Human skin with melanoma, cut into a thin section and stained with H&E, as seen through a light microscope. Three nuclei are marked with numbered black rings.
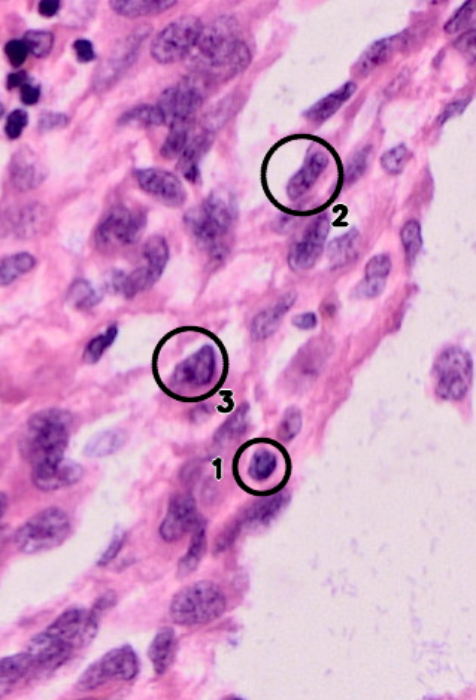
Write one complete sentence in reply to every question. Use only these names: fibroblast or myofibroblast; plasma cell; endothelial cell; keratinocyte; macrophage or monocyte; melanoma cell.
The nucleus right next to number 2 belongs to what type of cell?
It is a melanoma cell whose nucleus is nearest to number 2.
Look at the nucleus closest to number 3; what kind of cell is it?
The cell nearest to number 3 is a macrophage or monocyte.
